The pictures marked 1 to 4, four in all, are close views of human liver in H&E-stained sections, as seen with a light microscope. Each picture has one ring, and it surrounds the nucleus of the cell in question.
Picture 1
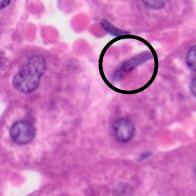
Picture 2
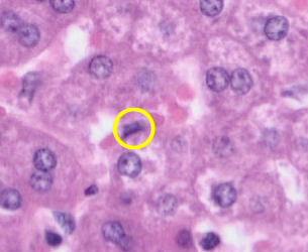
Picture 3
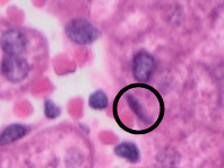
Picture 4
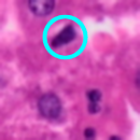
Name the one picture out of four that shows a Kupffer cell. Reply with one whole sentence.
Picture 1 shows the Kupffer cell.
